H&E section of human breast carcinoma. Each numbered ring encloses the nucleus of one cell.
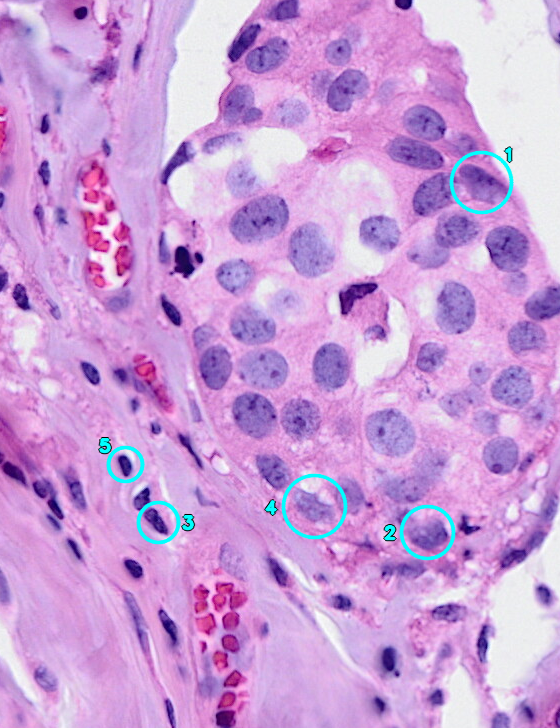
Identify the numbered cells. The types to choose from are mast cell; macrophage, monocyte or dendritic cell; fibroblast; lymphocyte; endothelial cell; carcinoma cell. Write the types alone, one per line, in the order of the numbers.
carcinoma cell
carcinoma cell
lymphocyte
carcinoma cell
lymphocyte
